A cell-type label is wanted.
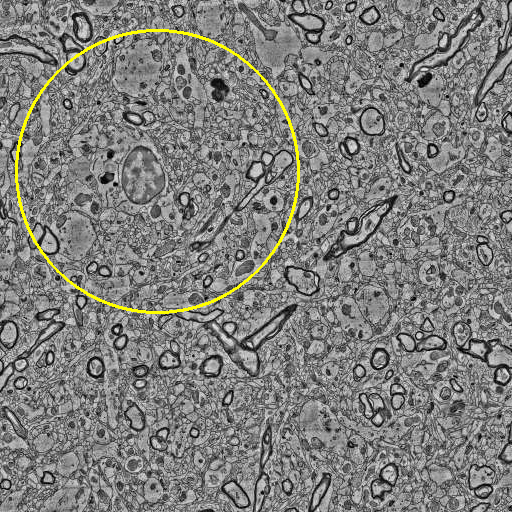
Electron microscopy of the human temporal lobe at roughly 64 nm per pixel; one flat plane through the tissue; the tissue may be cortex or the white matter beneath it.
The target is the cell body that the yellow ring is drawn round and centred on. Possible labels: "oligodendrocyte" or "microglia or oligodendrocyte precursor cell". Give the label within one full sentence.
Of the labels offered, the cell in the middle of the yellow ring is a microglial cell or oligodendrocyte precursor cell.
